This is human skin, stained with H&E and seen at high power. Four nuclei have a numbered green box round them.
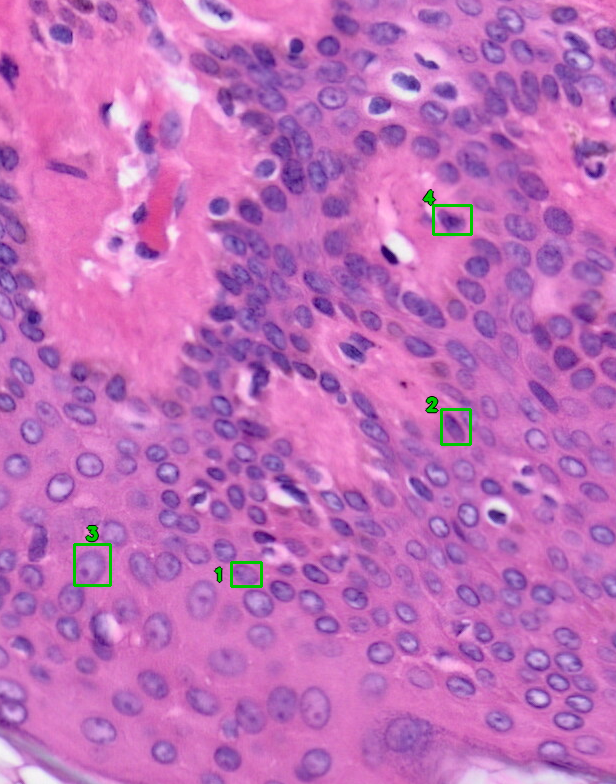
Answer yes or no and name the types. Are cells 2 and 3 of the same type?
No, cell 2 is a basal keratinocyte and cell 3 is a suprabasal keratinocyte.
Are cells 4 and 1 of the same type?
No, cell 4 is a fibroblast and cell 1 is a suprabasal keratinocyte.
